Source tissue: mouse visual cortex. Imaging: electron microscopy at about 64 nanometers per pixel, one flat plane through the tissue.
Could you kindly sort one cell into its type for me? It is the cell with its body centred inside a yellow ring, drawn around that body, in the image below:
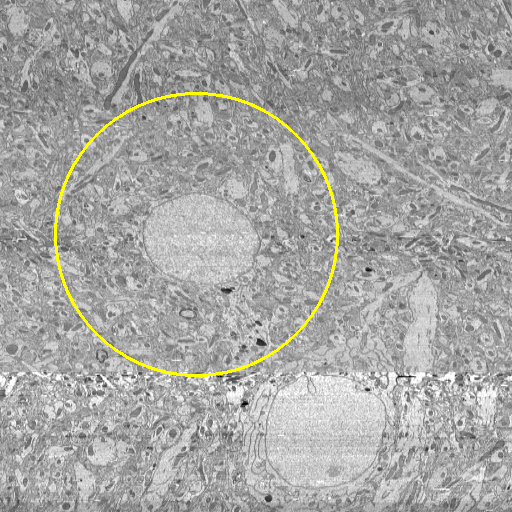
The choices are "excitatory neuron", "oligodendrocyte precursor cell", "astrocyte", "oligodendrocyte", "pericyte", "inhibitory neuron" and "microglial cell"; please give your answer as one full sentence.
The cell whose body lies centred in the yellow ring here is an astrocyte.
